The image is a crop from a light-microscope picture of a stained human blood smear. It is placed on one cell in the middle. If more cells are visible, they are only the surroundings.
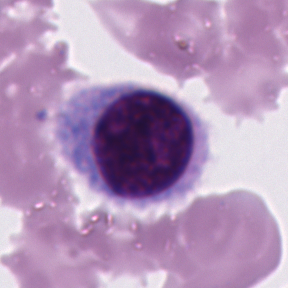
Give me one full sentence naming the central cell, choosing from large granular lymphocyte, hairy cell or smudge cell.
Looking at the middle of the crop, the cell there is a hairy cell.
